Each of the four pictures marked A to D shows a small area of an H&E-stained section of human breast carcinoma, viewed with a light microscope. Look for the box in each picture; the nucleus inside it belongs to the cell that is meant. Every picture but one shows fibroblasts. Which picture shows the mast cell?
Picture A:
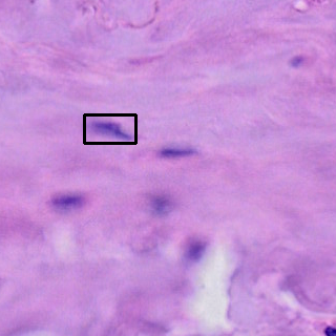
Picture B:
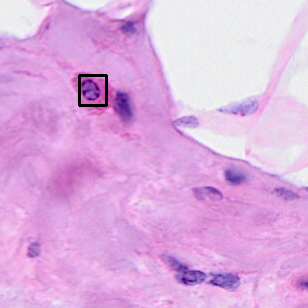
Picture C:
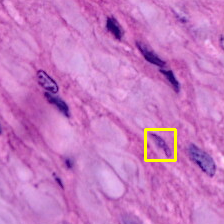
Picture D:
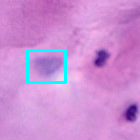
B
